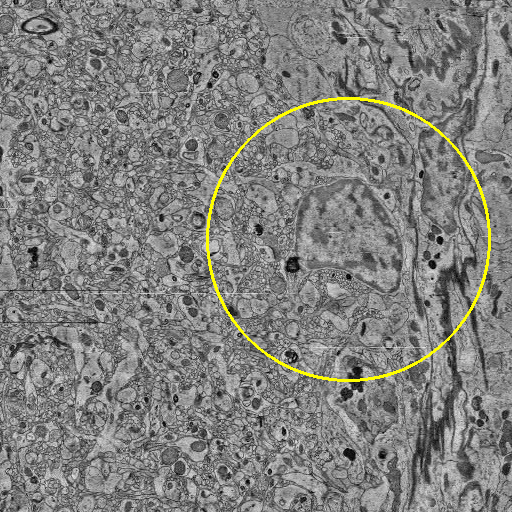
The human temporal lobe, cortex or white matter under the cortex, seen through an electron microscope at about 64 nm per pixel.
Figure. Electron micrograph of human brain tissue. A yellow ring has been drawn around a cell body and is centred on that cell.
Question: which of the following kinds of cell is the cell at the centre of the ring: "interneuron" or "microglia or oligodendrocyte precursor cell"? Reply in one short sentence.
The cell at the centre of the ring is a microglial cell or oligodendrocyte precursor cell.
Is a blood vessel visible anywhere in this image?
Yes, a vessel shows somewhere in the image.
